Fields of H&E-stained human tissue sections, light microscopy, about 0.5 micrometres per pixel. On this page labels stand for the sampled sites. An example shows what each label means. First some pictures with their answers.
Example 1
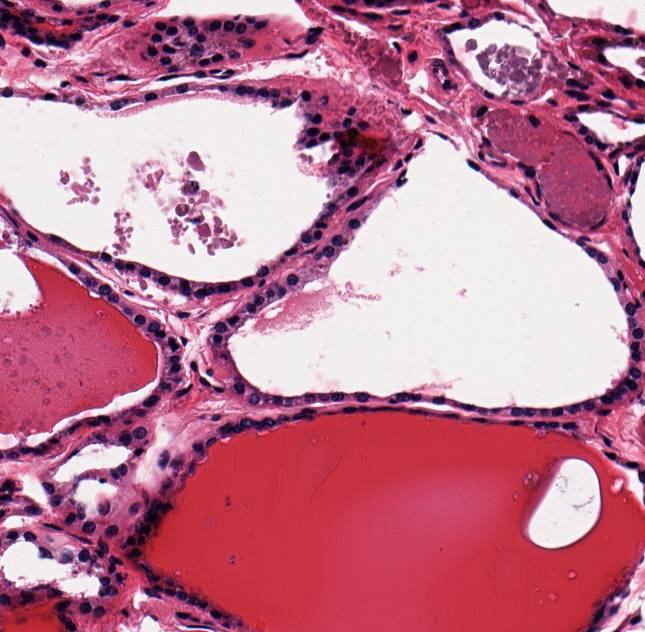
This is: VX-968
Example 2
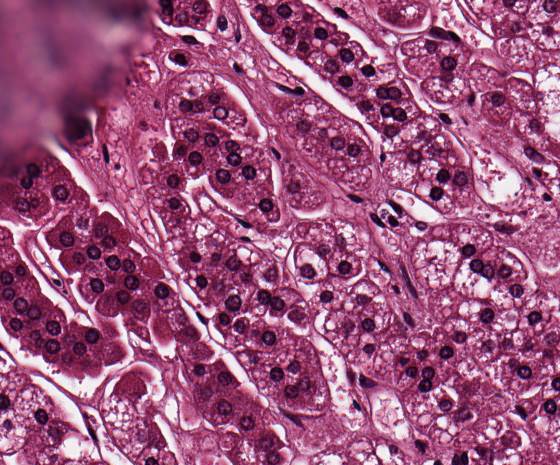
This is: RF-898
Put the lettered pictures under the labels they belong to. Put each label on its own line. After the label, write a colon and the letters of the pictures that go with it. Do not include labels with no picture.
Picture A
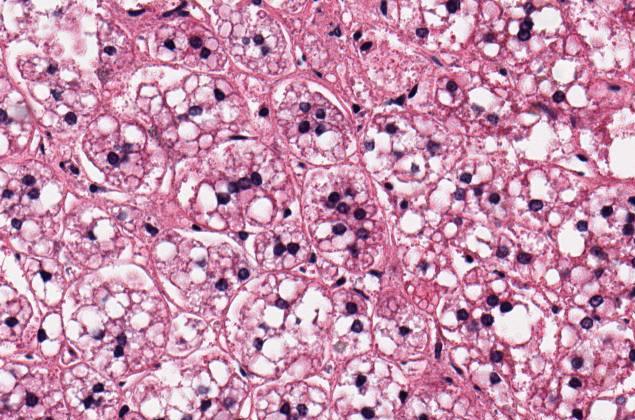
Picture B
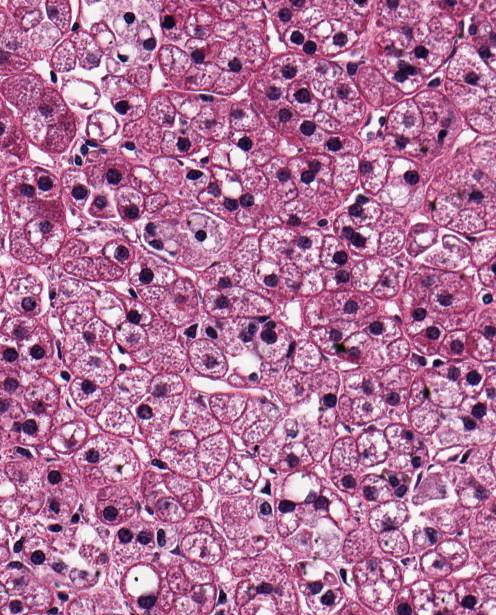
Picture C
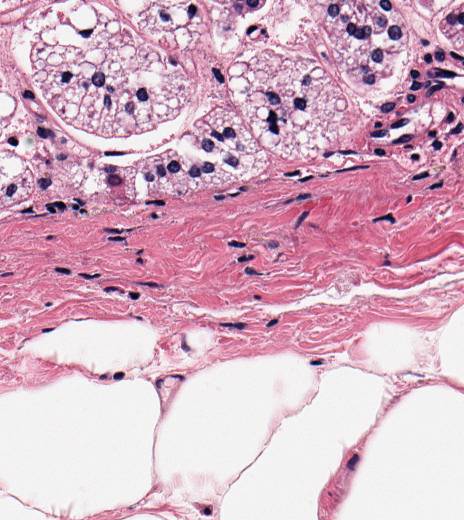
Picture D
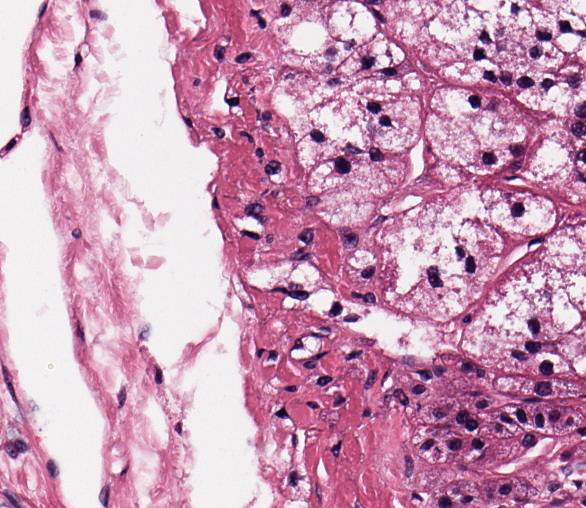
RF-898: A, B, C, D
